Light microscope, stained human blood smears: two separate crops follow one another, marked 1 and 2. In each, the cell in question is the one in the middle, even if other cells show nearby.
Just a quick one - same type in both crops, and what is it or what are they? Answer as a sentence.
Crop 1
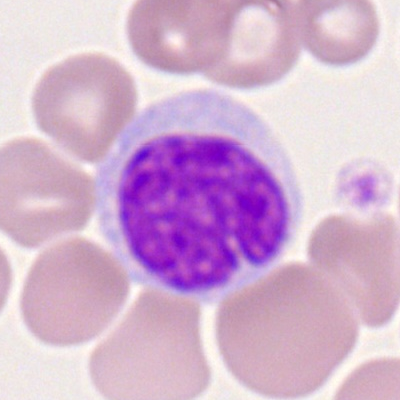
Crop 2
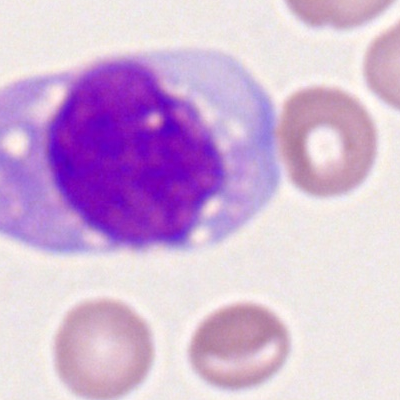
Yes, the centre cells of both crops are monocytes.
